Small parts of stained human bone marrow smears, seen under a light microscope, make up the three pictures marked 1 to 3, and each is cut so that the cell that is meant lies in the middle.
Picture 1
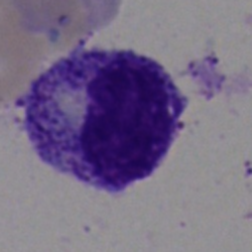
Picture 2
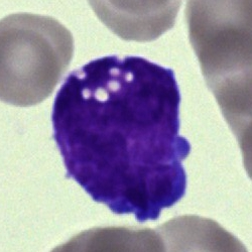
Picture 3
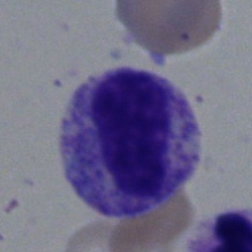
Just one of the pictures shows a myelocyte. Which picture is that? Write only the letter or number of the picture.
1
